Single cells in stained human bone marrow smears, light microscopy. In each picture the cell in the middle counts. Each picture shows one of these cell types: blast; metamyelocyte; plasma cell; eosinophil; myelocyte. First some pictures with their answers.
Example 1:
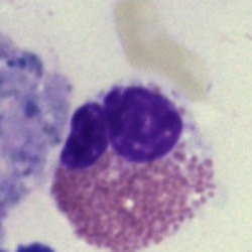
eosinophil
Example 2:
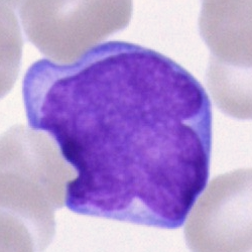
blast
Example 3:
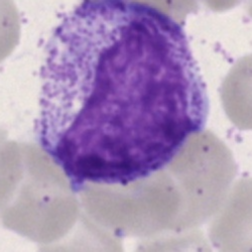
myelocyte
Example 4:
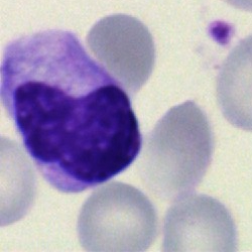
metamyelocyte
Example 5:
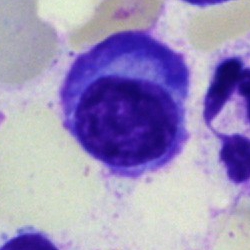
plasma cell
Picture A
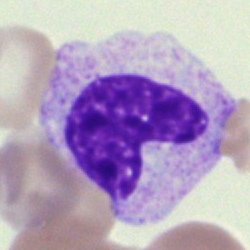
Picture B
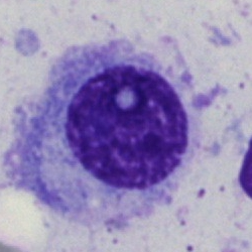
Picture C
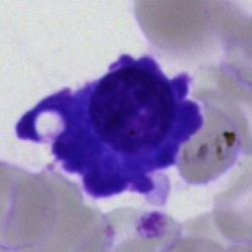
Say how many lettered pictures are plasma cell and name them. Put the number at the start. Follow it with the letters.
Count: 2 (B, C)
